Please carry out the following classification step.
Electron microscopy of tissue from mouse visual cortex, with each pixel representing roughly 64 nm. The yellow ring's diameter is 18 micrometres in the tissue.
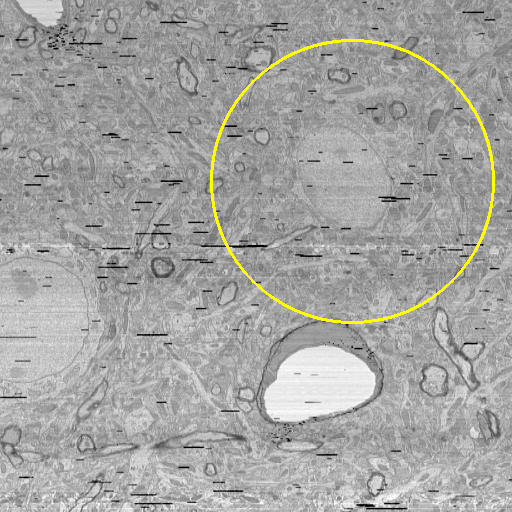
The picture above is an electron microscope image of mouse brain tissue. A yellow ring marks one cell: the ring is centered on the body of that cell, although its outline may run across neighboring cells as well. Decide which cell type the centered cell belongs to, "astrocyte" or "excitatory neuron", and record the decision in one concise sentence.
The cell centered in the yellow ring is an astrocyte.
